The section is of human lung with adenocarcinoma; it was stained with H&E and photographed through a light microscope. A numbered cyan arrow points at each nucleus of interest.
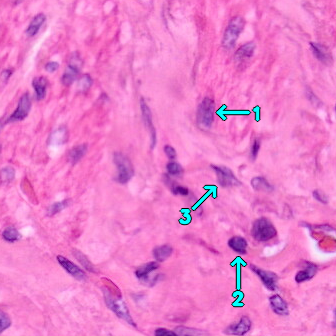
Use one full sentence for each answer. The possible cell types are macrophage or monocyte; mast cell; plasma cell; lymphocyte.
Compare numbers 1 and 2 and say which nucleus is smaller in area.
Number 2 is smaller, since number 1 takes up about 1.5 times as much area.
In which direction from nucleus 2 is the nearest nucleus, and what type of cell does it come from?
Lying above and to the right of nucleus 2, the nearest nucleus is that of a plasma cell.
